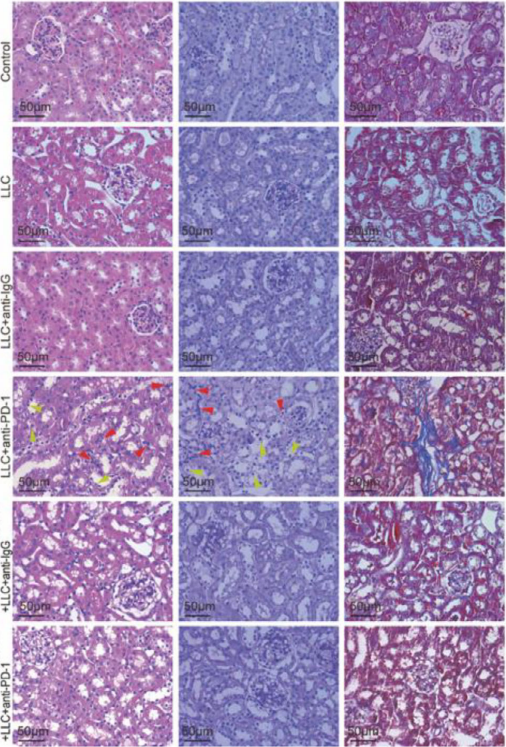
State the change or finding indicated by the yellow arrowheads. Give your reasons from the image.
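Tubular injury. The yellow arrowheads point to tubules with pale, irregular or dilated lumens.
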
